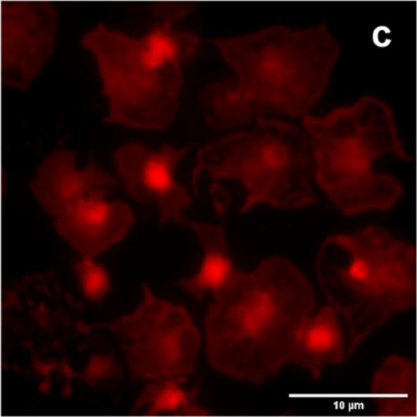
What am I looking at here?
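Many small flattened cells lie spread across the surface, each only several micrometres wide. No green is seen anywhere.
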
